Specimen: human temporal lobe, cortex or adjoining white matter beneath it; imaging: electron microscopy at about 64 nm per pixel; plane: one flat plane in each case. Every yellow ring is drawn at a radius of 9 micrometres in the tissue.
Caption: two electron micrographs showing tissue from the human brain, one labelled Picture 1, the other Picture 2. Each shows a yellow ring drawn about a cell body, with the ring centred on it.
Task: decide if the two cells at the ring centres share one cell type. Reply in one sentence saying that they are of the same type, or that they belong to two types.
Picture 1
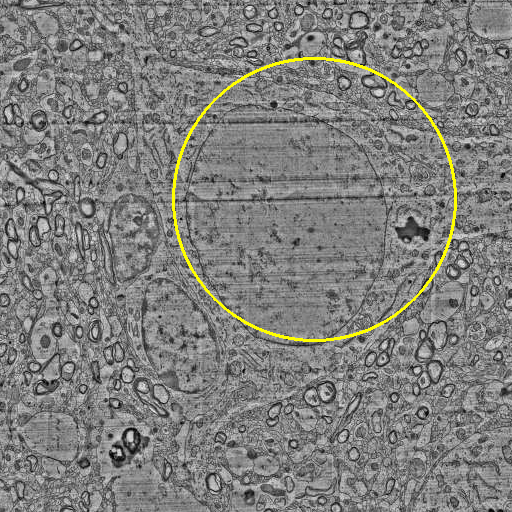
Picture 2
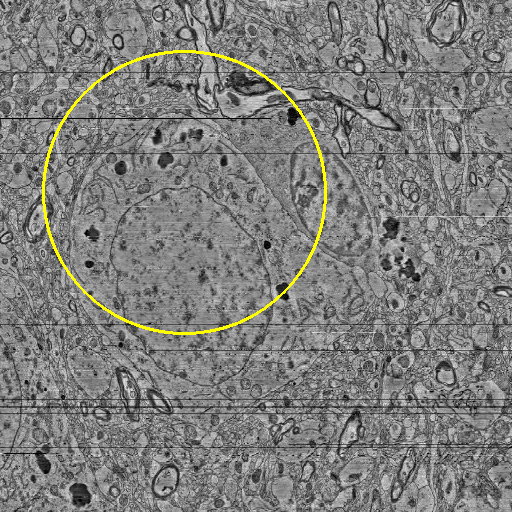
The cells at the ring centres in Picture 1 and Picture 2 are of the same type.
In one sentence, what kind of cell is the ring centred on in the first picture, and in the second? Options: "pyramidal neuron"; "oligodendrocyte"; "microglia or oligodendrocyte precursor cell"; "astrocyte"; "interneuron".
In the first picture and in the second, the ring is centred on a pyramidal neuron.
